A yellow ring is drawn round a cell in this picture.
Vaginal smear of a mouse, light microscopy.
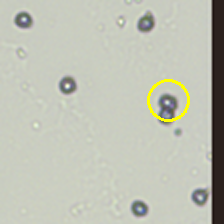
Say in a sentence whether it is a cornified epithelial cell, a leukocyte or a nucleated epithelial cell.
The cell in the ring is a leukocyte.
